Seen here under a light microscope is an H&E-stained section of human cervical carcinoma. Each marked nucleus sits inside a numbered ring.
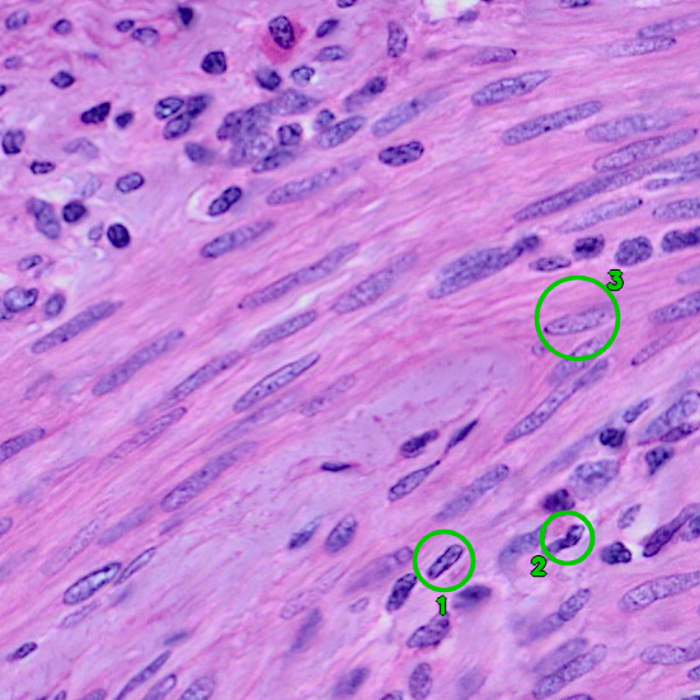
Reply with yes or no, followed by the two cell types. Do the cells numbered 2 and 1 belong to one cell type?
Yes, cells 2 and 1 are both identified as lymphocytes.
